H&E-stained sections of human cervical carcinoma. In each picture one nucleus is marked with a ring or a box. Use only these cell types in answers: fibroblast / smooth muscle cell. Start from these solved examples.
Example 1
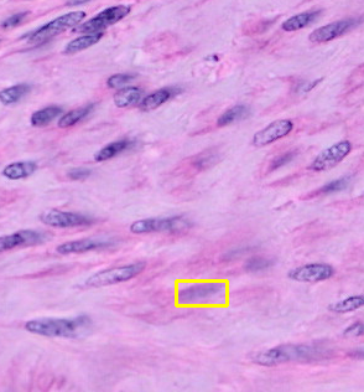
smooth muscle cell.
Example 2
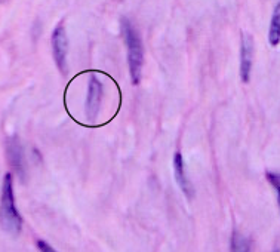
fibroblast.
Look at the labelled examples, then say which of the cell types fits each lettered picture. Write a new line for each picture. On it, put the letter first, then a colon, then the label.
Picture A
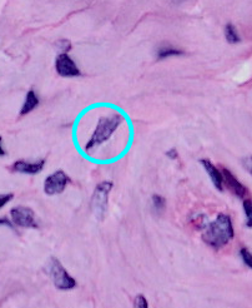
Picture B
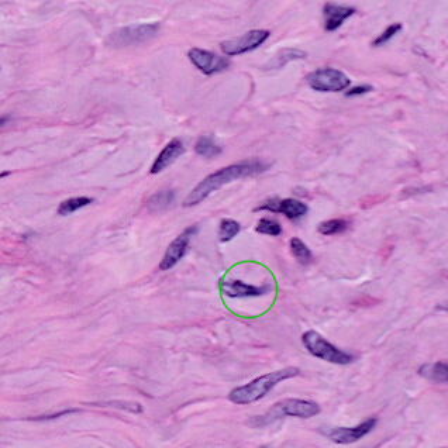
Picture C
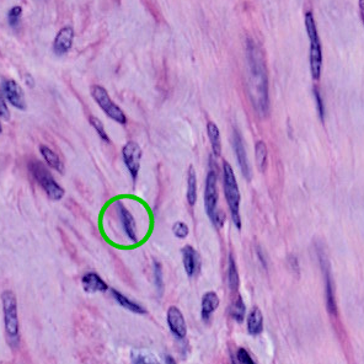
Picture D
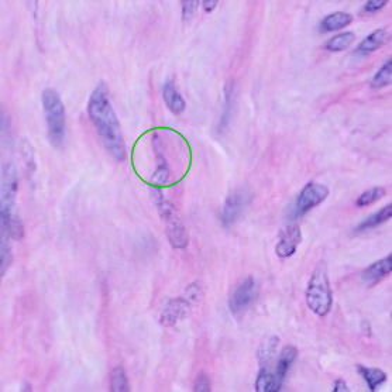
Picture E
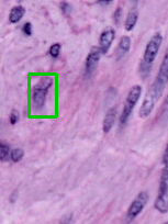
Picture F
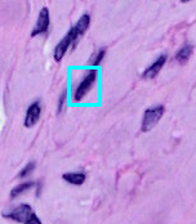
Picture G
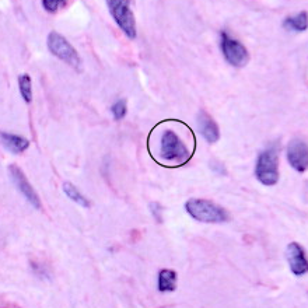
A: fibroblast.
B: fibroblast.
C: smooth muscle cell.
D: smooth muscle cell.
E: smooth muscle cell.
F: fibroblast.
G: fibroblast.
